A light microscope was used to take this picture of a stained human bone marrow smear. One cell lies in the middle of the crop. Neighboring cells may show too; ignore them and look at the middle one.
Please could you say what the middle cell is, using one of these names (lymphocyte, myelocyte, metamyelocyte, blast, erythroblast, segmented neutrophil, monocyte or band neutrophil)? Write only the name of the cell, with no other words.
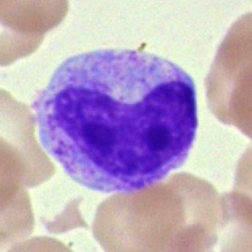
metamyelocyte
